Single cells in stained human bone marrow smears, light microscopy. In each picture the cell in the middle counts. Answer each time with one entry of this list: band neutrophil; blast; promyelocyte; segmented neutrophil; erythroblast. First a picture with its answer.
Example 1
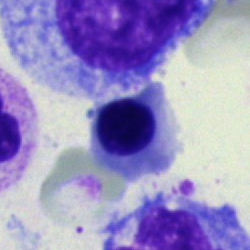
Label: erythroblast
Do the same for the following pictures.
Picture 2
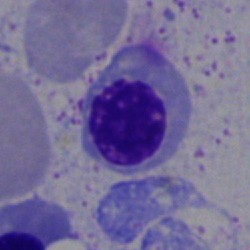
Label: erythroblast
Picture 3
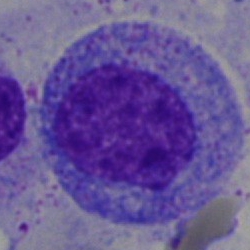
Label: promyelocyte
